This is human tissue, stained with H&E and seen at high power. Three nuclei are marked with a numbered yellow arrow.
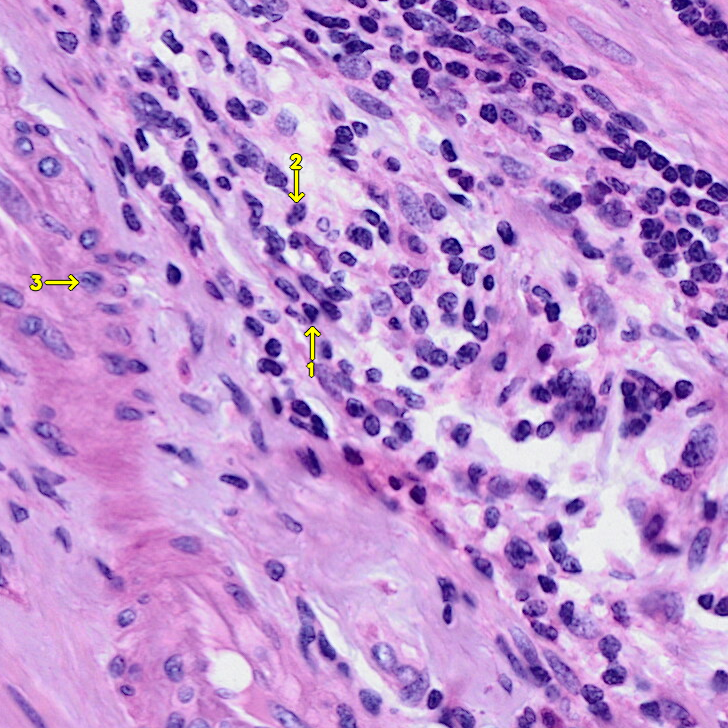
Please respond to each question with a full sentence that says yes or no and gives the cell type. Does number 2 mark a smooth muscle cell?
No, the correct answer for cell 2 is a lymphocyte, not a smooth muscle cell.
